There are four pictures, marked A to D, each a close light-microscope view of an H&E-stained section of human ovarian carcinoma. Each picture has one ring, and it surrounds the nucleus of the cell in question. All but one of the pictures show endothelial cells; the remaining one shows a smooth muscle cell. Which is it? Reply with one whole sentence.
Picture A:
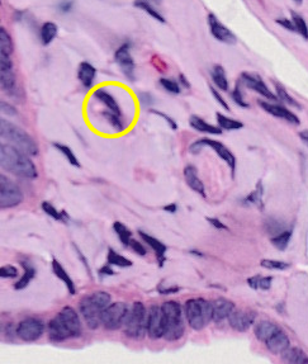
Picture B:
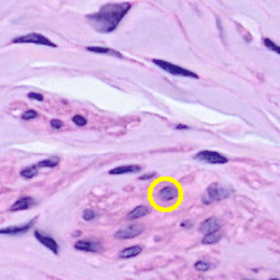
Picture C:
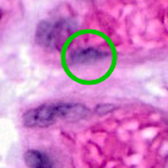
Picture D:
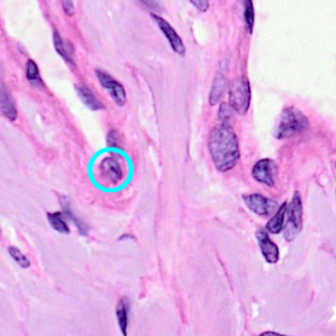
The smooth muscle cell is the one in picture B.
